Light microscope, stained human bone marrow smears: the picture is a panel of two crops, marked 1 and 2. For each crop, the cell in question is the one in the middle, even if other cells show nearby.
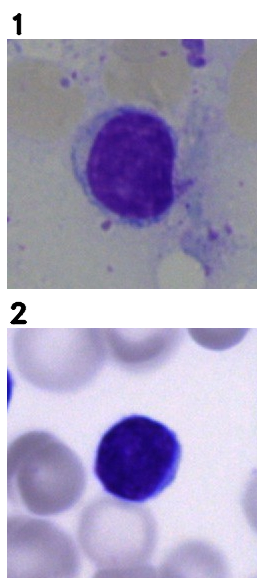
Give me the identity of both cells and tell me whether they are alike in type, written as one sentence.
Yes, both crops show lymphocytes, and that holds for each one.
